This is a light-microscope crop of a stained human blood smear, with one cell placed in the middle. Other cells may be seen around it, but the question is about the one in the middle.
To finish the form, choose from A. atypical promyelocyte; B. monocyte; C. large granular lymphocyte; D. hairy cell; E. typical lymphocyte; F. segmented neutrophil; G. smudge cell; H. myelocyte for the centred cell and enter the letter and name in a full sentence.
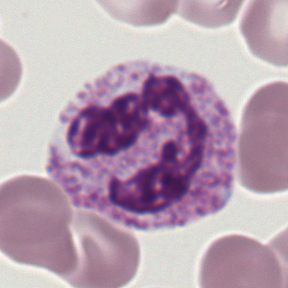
The expected answer is option F, the central cell being a segmented neutrophil.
